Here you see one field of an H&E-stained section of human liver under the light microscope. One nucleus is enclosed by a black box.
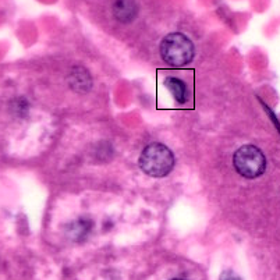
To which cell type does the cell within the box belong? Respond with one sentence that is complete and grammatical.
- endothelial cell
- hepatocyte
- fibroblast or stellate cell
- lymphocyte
The identity of the cell within the box: it is a fibroblast or stellate cell.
